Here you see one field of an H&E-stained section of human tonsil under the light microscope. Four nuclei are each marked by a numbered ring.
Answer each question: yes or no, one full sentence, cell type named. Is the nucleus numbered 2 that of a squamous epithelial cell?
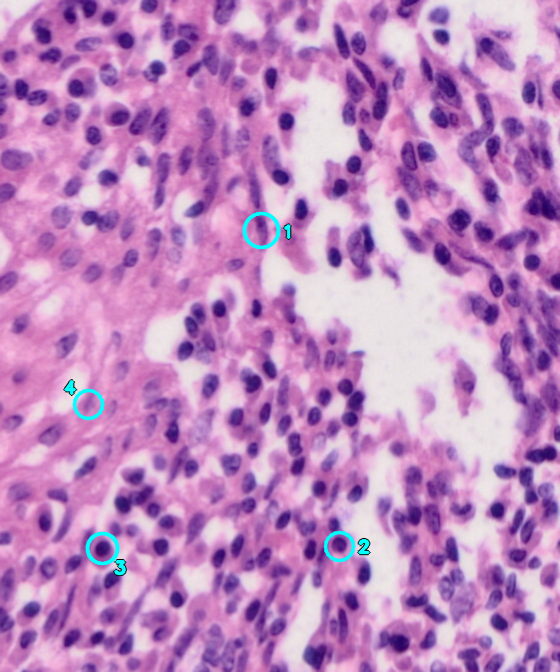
No, the cell under number 2 is a plasma cell instead of a squamous epithelial cell.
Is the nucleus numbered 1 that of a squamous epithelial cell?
Yes, number 1 corresponds to a squamous epithelial cell.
